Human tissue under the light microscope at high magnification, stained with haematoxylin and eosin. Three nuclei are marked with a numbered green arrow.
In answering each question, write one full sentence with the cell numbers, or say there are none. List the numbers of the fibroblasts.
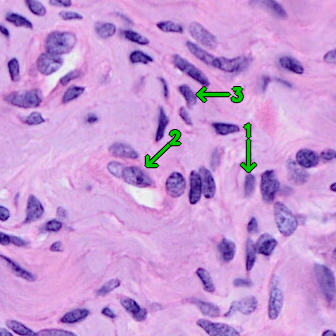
The numbers 1 and 3 in this section indicate fibroblasts.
